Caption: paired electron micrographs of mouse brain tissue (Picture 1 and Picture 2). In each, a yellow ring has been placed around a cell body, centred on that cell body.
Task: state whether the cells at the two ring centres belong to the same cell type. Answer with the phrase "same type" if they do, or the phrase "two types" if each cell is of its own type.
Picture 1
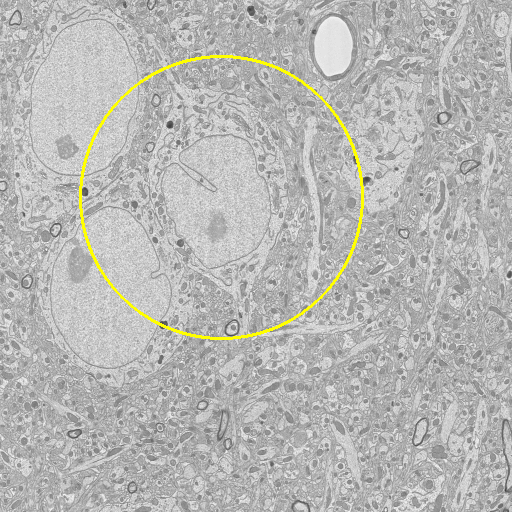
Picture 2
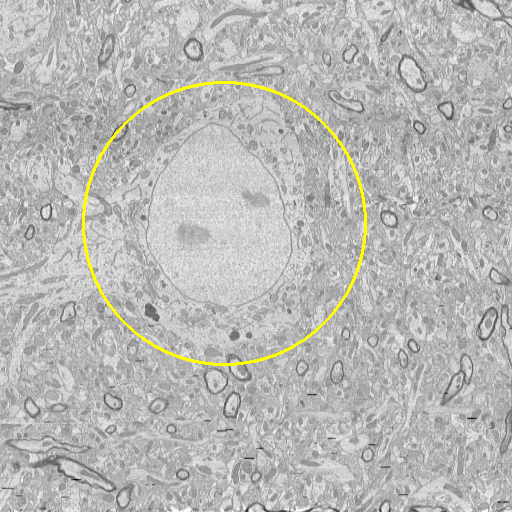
two types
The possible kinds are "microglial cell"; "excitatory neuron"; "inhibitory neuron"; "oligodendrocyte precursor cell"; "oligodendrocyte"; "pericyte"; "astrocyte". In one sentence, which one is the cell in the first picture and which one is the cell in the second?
The cell ringed in the second picture is an excitatory neuron, whereas the one ringed in the first is an inhibitory neuron.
